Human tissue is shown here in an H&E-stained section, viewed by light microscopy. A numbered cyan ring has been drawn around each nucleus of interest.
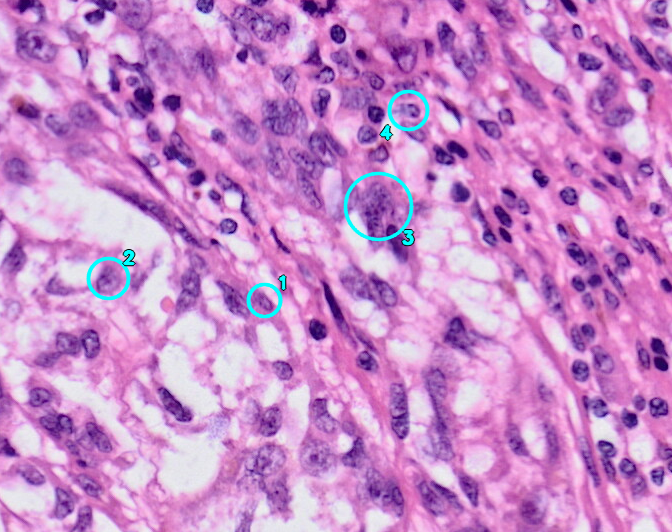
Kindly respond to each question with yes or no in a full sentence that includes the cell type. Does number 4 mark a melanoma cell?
No, in terms of cell type, cell 4 is a lymphocyte, not a melanoma cell.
